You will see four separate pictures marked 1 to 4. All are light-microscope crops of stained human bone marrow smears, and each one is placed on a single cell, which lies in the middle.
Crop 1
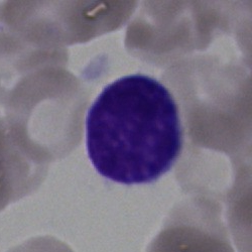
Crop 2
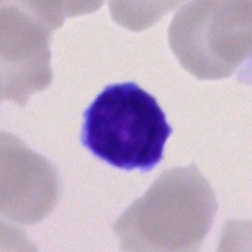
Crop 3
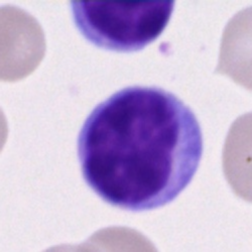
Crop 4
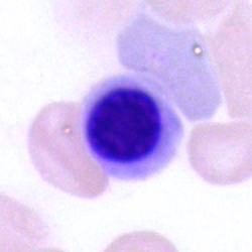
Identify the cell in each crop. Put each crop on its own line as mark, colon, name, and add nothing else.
1: lymphocyte
2: lymphocyte
3: lymphocyte
4: erythroblast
